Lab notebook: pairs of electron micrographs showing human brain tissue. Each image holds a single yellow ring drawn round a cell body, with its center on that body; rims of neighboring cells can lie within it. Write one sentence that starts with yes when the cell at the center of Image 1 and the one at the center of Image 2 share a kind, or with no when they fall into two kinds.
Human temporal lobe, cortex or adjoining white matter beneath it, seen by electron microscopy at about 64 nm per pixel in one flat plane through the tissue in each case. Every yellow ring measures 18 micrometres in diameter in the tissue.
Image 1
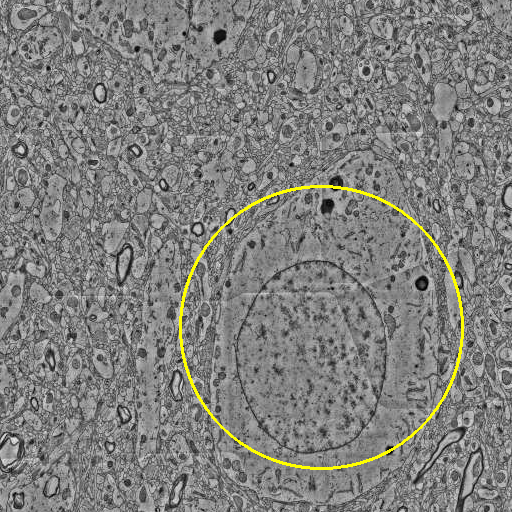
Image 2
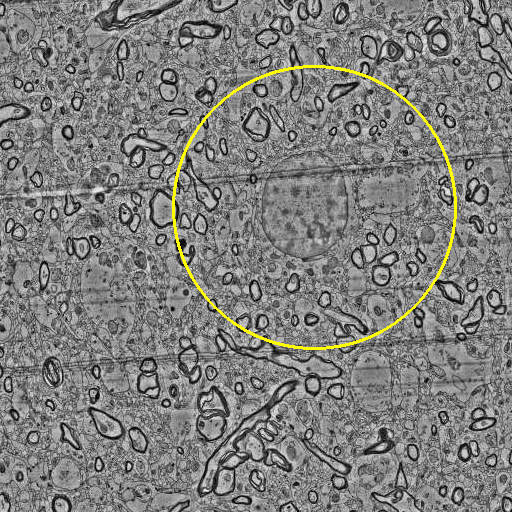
No, the centered cell in Image 1 and the centered cell in Image 2 are of two kinds.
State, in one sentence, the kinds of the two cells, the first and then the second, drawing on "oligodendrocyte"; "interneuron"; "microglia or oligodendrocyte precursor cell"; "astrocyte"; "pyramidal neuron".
The ring in the second picture is centred on an oligodendrocyte, the ring in the first on a pyramidal neuron.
